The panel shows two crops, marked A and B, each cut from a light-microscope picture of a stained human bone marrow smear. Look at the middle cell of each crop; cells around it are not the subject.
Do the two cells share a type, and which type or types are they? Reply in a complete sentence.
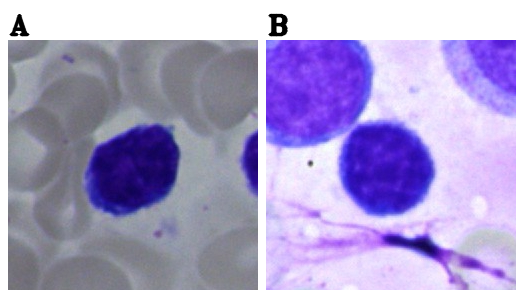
Yes, lymphocytes are depicted in both crops.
